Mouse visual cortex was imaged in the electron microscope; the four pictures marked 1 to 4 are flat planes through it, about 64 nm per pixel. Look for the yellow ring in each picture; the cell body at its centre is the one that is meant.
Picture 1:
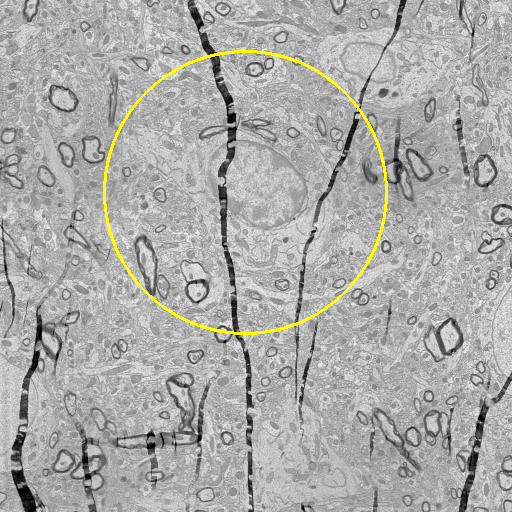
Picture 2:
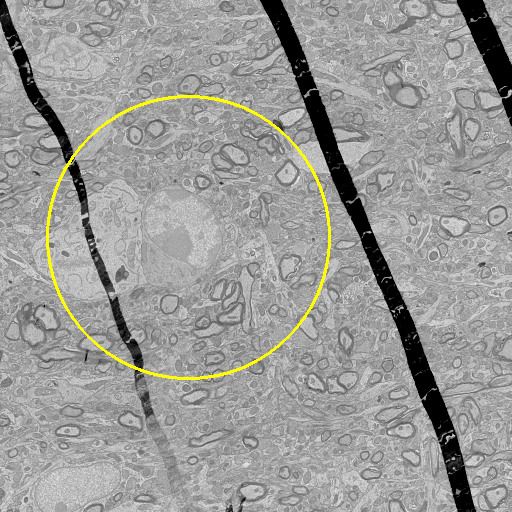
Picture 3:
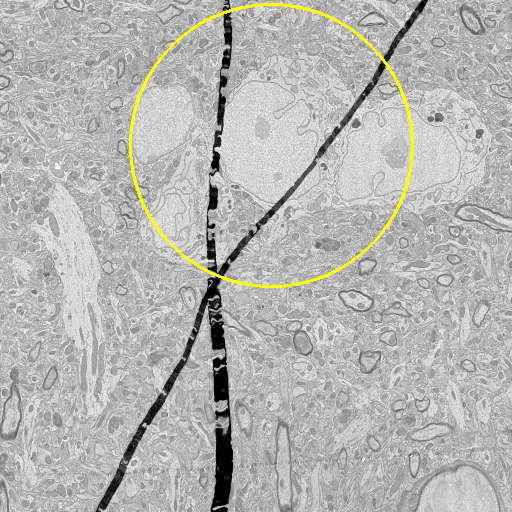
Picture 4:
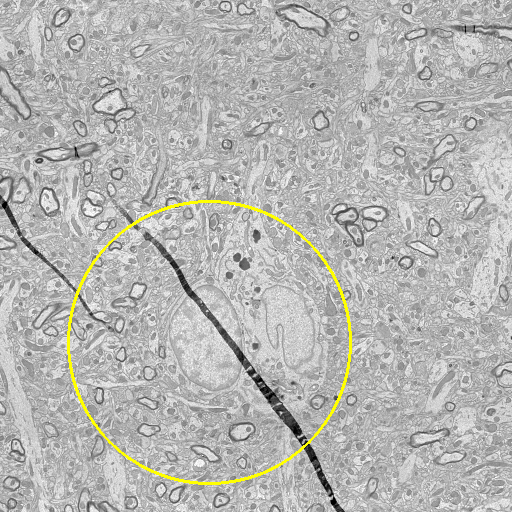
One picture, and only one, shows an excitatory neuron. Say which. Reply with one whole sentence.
Picture 3 is the one that shows the excitatory neuron.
